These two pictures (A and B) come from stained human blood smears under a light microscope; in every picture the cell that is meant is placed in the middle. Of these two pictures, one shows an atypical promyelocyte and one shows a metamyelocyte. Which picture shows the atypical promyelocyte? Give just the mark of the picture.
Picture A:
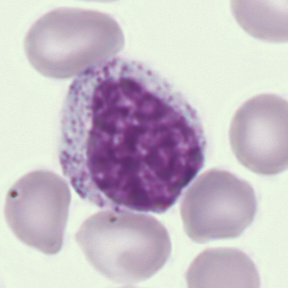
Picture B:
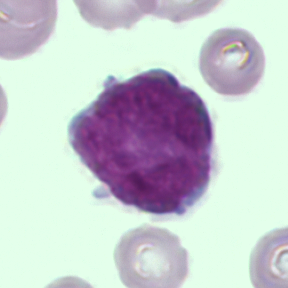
B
